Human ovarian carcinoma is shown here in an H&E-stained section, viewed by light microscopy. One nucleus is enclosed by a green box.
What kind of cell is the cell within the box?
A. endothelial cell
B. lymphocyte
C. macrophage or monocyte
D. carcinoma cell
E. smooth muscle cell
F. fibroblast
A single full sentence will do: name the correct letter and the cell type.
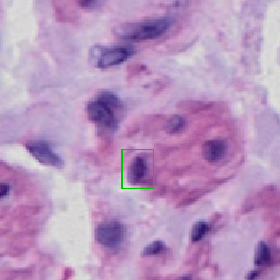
Option E is correct in that the cell within the box is a smooth muscle cell.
